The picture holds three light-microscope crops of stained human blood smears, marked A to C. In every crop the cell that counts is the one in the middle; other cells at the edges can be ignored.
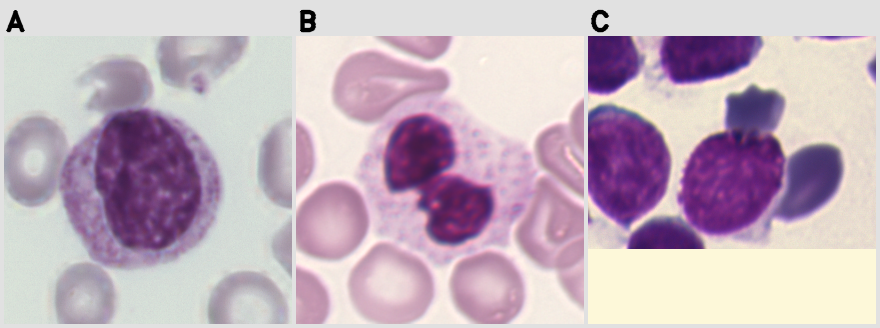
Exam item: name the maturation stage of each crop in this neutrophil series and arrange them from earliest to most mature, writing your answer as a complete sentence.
Sequenced by maturity, least first, the crops are crop C (a myeloblast), crop A (a myelocyte) and crop B (a segmented neutrophil).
